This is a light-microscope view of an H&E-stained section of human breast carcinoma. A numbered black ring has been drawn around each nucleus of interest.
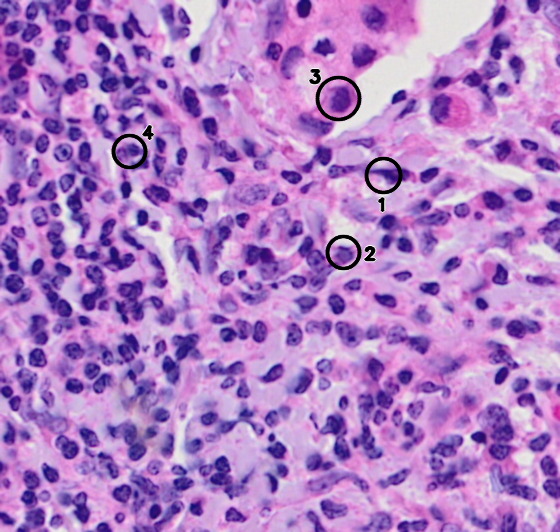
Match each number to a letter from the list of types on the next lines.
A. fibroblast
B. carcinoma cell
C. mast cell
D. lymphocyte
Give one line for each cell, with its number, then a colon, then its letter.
1: D
2: D
3: B
4: D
